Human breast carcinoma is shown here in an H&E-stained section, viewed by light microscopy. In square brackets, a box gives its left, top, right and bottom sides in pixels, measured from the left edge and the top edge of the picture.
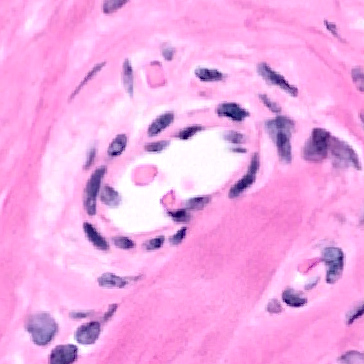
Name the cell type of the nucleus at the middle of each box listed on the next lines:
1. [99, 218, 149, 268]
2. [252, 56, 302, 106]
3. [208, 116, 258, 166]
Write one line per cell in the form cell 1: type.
cell 1: endothelial cell
cell 2: fibroblast
cell 3: endothelial cell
